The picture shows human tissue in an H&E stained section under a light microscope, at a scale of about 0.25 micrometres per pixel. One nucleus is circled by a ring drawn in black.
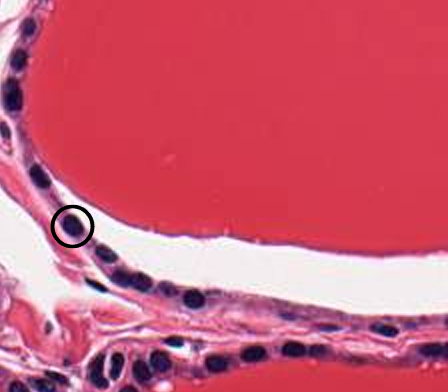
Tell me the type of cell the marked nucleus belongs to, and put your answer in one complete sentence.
Marked in this picture is the nucleus of a thyroid follicular cell.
